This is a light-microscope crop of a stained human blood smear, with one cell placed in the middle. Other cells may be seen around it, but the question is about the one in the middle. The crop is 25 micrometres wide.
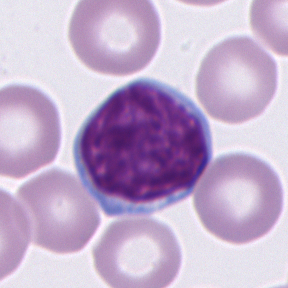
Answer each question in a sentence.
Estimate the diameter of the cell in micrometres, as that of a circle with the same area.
About 12 micrometres: that is the cell's diameter.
